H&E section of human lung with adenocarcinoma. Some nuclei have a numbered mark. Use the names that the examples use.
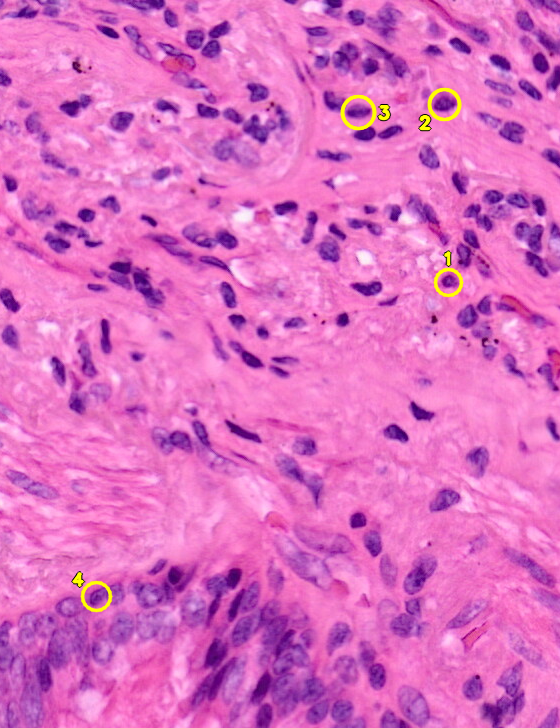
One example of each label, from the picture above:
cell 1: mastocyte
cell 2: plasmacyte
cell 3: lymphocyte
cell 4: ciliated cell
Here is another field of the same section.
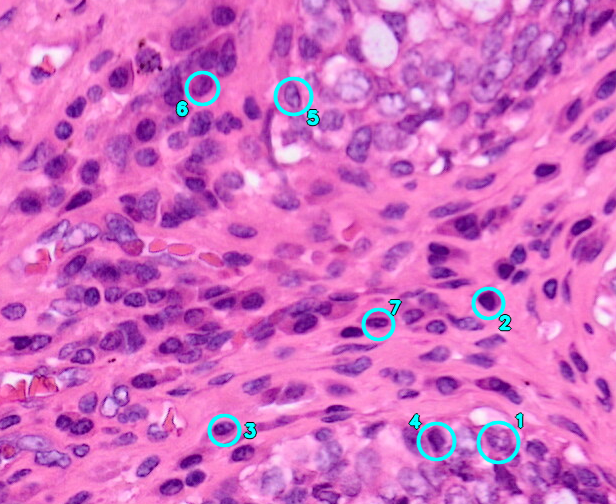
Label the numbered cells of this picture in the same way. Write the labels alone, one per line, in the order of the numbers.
ciliated cell
plasmacyte
plasmacyte
ciliated cell
ciliated cell
plasmacyte
plasmacyte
